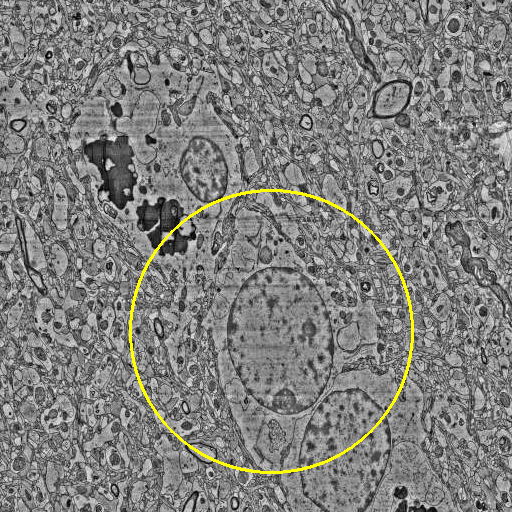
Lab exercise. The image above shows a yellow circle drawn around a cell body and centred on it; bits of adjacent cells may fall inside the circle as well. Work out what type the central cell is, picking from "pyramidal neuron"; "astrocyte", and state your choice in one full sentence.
In the image above, the cell at the centre of the yellow circle is an astrocyte.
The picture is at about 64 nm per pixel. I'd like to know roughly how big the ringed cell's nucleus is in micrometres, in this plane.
The nucleus is approximately 9 micrometers long by 7 micrometers wide in this plane.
